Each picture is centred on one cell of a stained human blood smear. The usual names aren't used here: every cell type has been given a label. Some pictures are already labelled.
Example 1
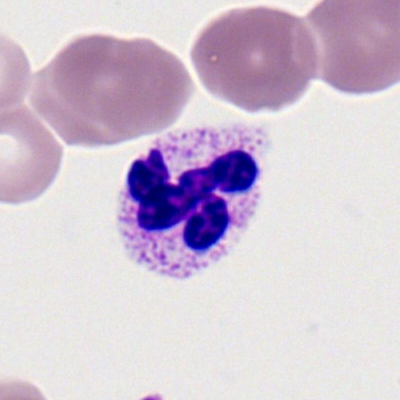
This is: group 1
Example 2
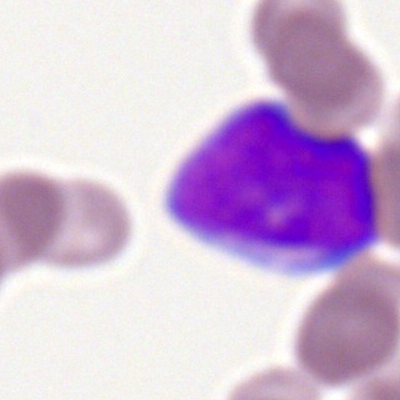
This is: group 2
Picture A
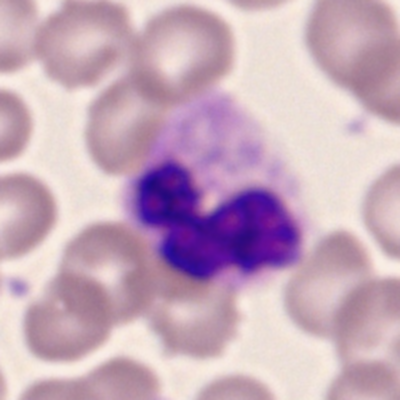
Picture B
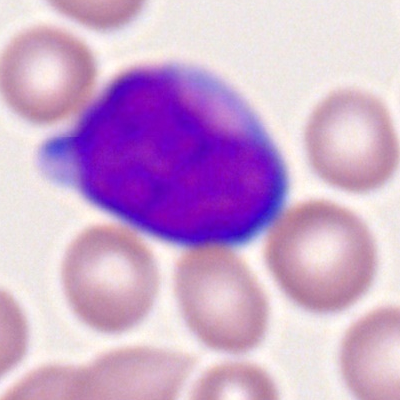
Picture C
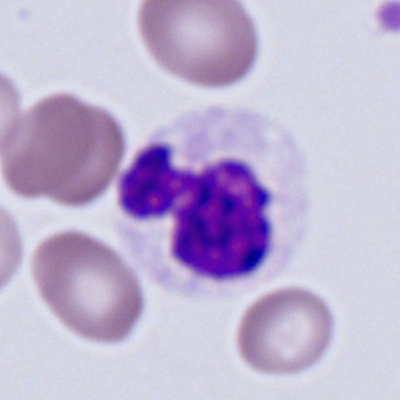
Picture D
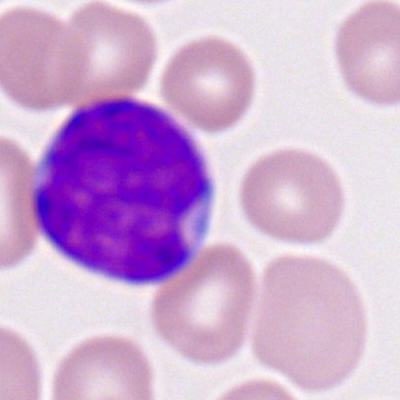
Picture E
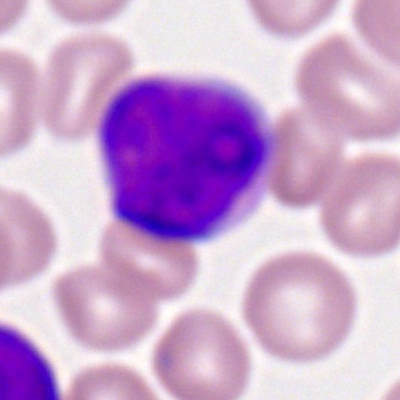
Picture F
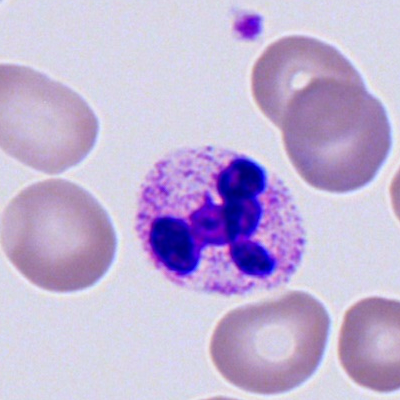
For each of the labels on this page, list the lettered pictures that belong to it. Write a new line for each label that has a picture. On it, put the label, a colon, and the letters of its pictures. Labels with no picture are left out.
group 1: A, C, F
group 2: B, D, E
